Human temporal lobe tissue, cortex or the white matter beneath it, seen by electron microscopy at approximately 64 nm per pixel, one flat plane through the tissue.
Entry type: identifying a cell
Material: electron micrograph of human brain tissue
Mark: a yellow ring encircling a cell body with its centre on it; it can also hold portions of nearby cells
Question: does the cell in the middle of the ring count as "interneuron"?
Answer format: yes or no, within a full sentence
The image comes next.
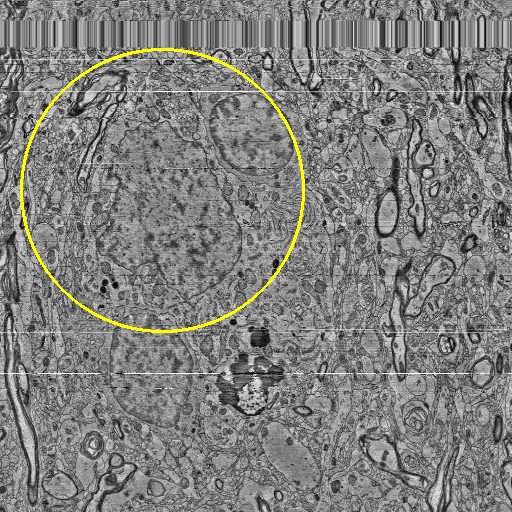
Yes, in the image, the cell in the middle of the yellow ring counts as the queried kind.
